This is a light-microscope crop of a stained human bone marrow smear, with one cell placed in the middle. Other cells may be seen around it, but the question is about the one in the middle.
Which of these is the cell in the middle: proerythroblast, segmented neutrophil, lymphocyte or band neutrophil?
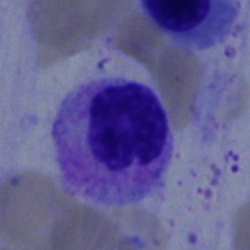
band neutrophil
